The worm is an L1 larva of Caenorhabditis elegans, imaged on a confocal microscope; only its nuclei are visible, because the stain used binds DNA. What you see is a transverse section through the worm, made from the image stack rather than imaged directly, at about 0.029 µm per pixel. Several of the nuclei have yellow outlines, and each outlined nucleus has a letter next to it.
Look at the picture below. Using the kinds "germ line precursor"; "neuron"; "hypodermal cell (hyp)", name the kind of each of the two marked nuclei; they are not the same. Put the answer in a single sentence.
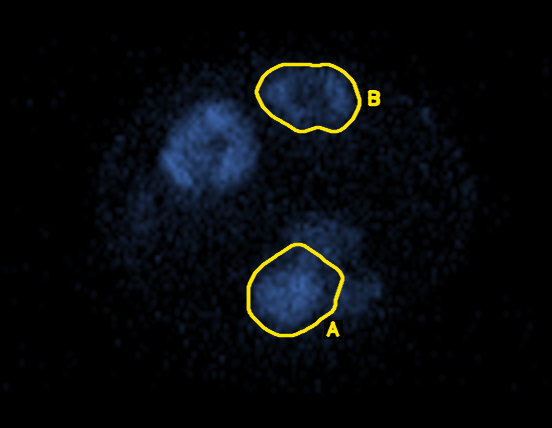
A is in a neuron and B is in a hypodermal cell (hyp).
